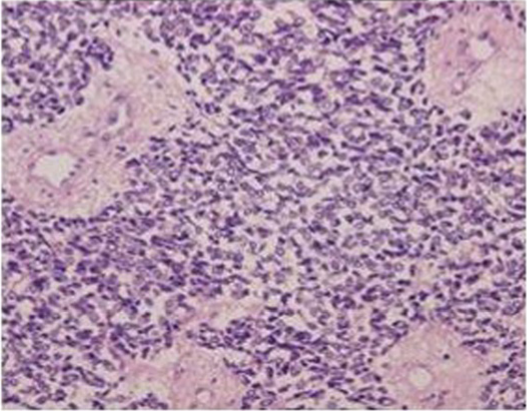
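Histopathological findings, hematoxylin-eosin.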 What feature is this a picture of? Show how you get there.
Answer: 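Several pale pink rounded zones each with a small central lumen. Dark-blue cells crowd in a ring around these pale zones.
Hence: rosette-like arrangement around the vessels.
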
